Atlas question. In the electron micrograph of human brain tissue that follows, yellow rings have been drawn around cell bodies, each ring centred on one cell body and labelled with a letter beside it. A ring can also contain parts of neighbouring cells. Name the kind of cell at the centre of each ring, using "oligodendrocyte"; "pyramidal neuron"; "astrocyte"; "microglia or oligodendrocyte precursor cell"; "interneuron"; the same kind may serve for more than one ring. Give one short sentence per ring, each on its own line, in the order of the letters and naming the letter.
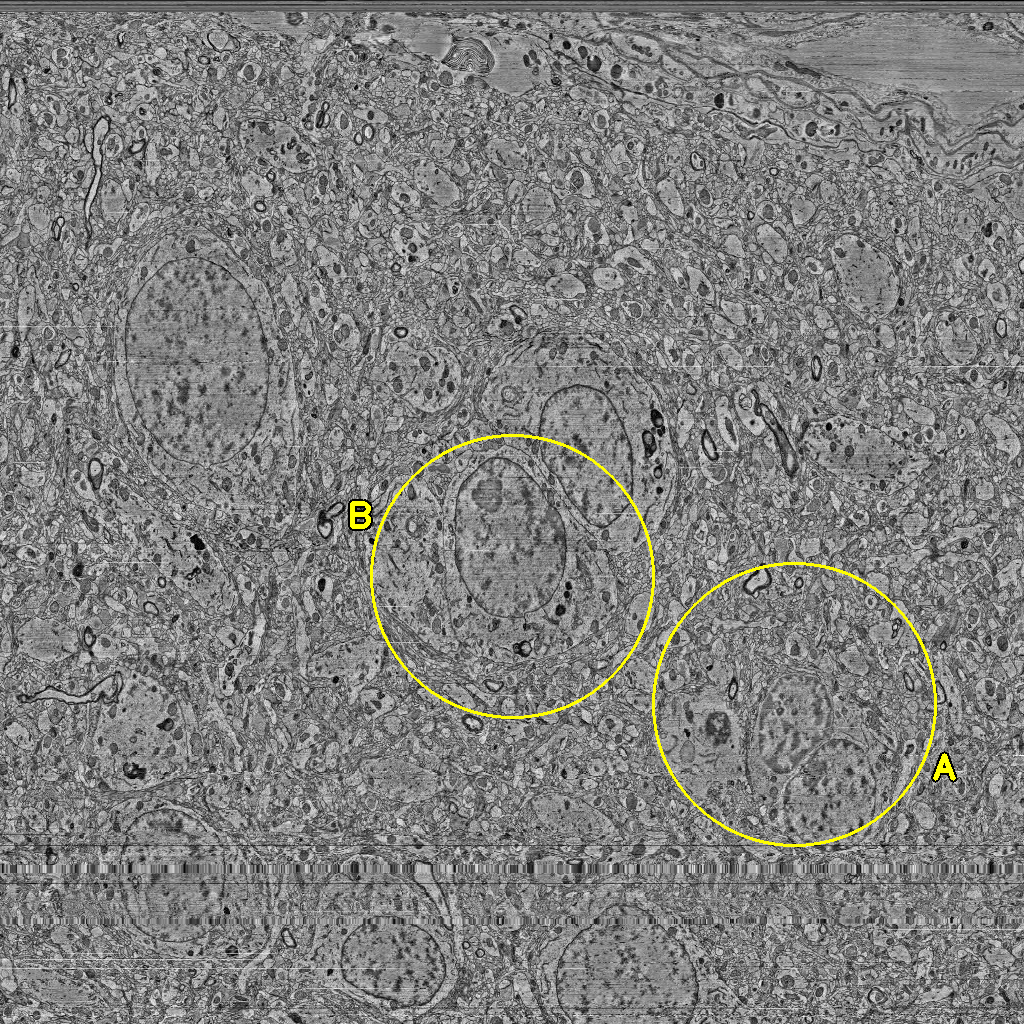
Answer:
For ring A, the cell at the centre is an oligodendrocyte.
For ring B, the cell at the centre is a pyramidal neuron.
